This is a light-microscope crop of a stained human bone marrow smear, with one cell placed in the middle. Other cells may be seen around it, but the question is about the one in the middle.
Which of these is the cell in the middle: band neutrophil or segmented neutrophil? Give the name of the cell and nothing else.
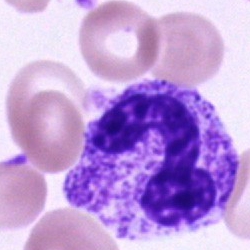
band neutrophil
